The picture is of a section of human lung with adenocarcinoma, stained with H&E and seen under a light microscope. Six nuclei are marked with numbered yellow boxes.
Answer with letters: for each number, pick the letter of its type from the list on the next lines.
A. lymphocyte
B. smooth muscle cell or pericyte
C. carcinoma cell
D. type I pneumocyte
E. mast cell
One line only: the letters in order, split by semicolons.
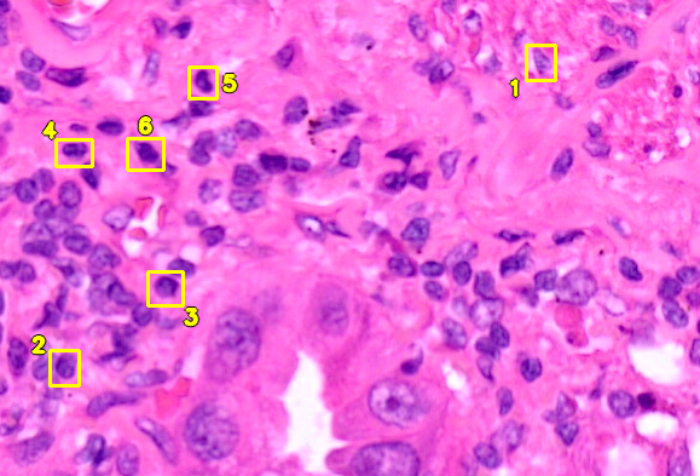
B; A; A; A; E; A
